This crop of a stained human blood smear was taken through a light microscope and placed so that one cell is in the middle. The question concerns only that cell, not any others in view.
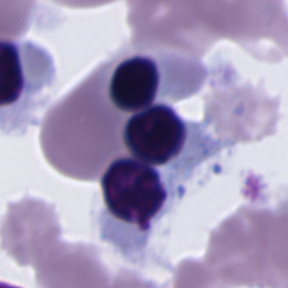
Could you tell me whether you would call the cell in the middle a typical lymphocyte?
no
